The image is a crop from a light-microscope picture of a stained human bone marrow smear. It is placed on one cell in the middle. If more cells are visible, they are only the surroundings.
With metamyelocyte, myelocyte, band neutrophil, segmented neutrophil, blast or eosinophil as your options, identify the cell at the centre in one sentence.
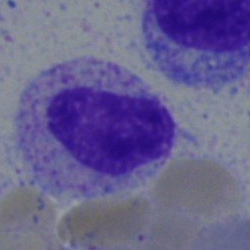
The cell in the middle of the field of view is a myelocyte.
